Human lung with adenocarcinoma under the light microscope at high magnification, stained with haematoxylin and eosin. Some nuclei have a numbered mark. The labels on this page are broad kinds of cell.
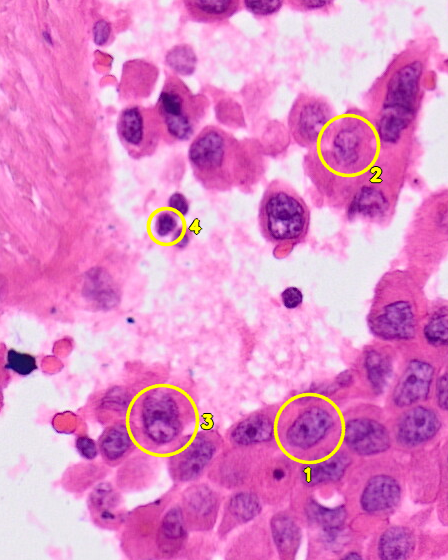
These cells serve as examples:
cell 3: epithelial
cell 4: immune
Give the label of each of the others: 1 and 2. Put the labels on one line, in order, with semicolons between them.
epithelial; epithelial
